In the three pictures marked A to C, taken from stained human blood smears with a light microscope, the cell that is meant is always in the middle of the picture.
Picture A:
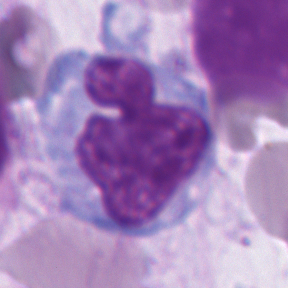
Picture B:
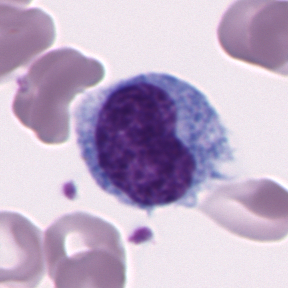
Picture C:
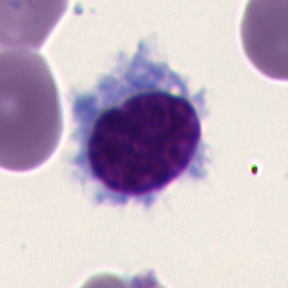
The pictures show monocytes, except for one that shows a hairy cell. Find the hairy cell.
C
